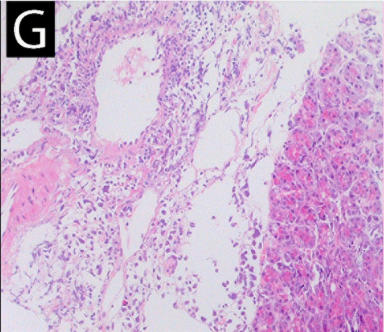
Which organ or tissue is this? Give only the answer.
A: Pancreas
